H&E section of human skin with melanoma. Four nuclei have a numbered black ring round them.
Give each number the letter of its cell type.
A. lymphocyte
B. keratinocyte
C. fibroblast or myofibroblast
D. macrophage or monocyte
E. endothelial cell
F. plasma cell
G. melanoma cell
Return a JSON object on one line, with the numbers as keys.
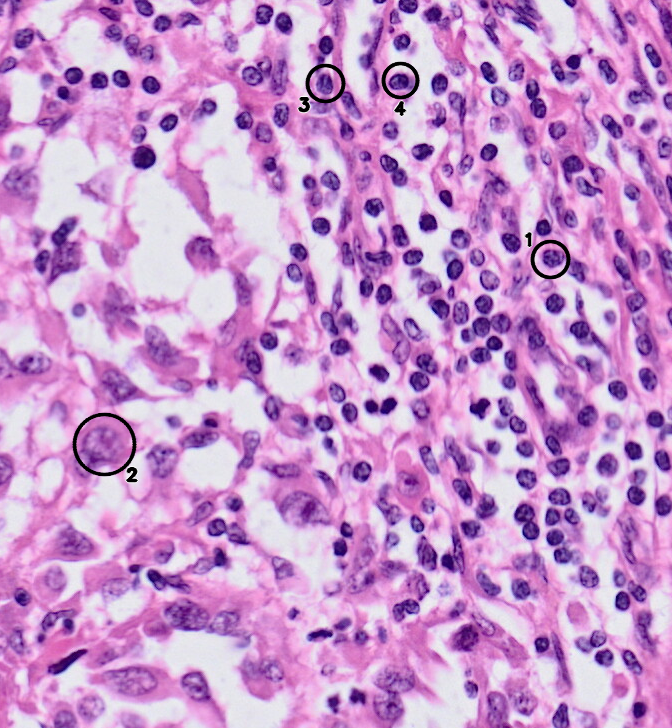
{"1": "A", "2": "G", "3": "A", "4": "A"}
